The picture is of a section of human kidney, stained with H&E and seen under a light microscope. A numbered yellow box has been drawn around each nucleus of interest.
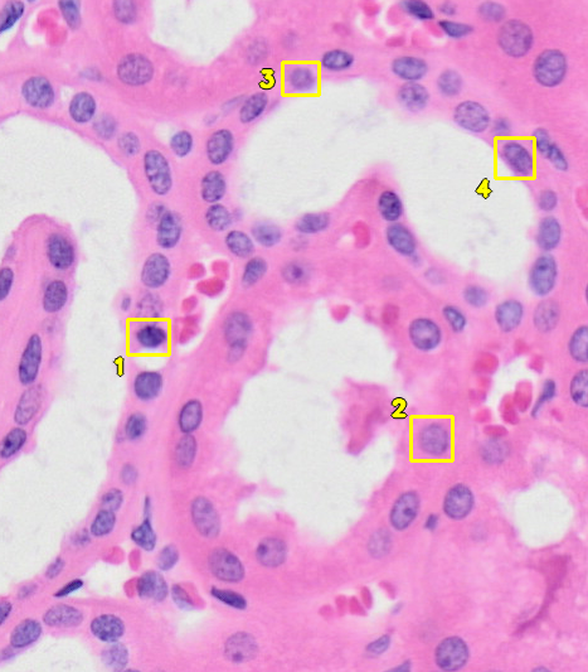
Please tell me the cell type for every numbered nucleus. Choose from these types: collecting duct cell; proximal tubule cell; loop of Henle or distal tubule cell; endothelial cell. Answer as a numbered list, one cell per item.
1. collecting duct cell
2. proximal tubule cell
3. collecting duct cell
4. collecting duct cell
